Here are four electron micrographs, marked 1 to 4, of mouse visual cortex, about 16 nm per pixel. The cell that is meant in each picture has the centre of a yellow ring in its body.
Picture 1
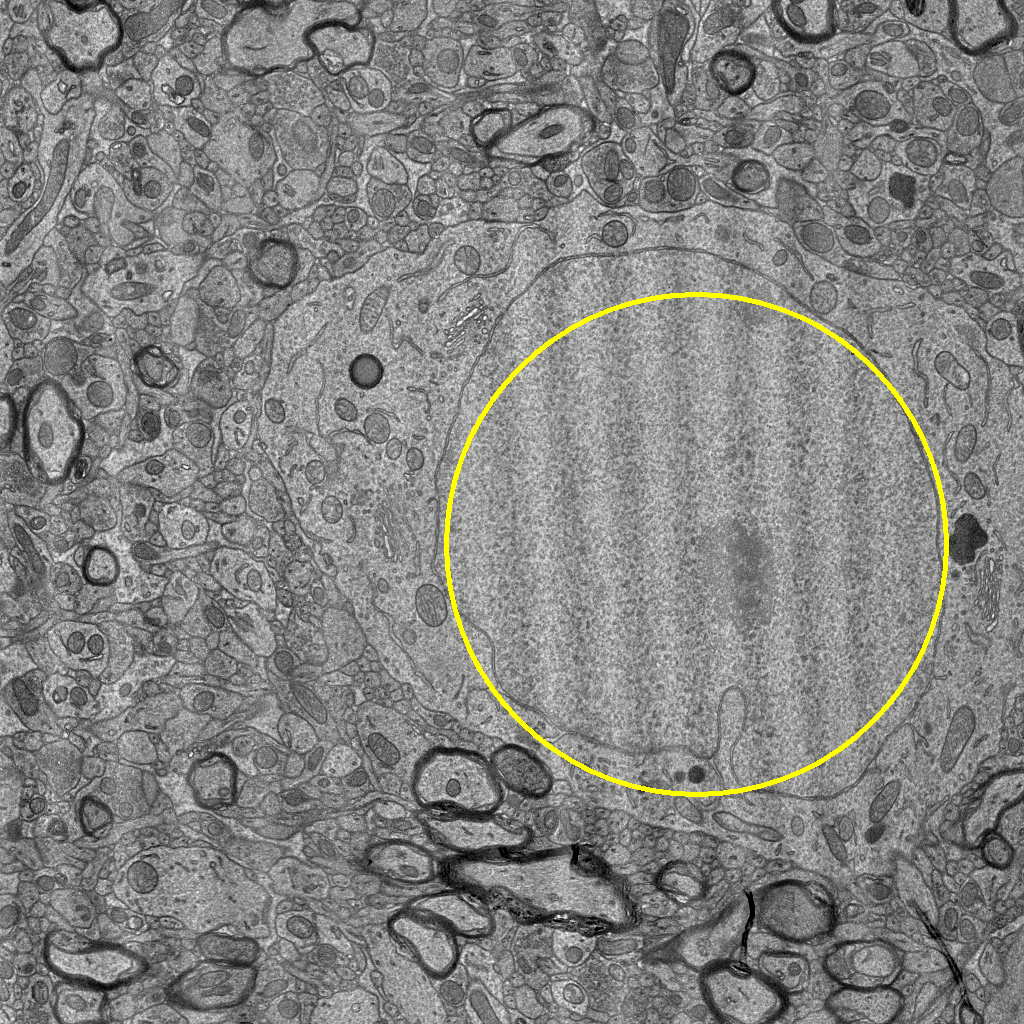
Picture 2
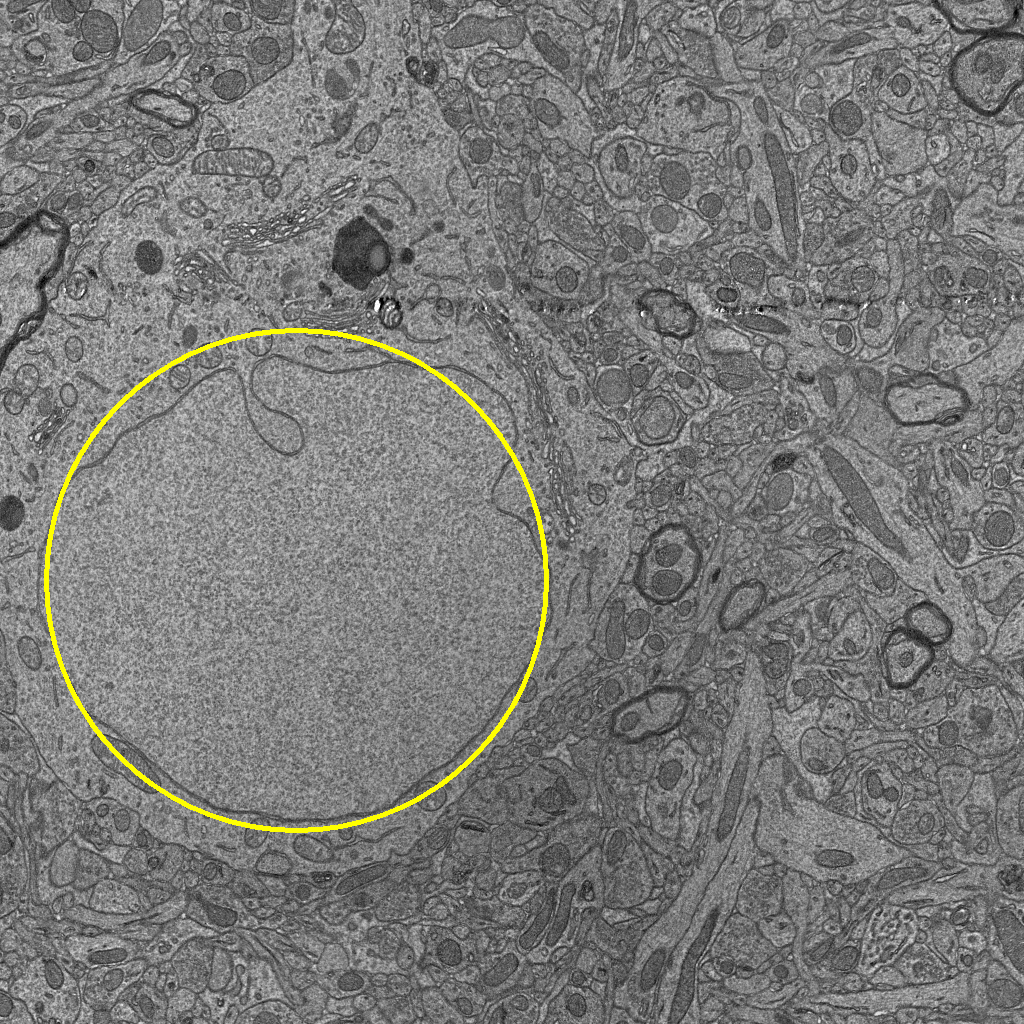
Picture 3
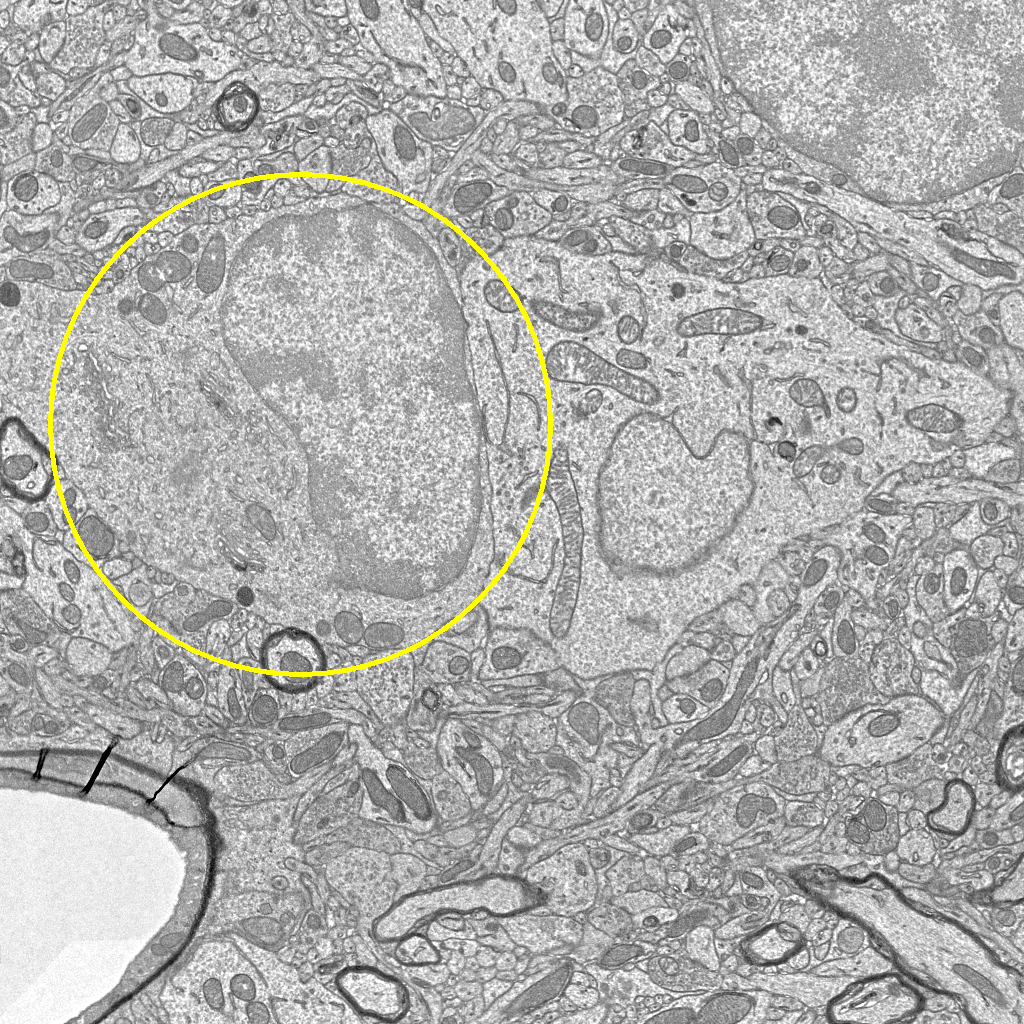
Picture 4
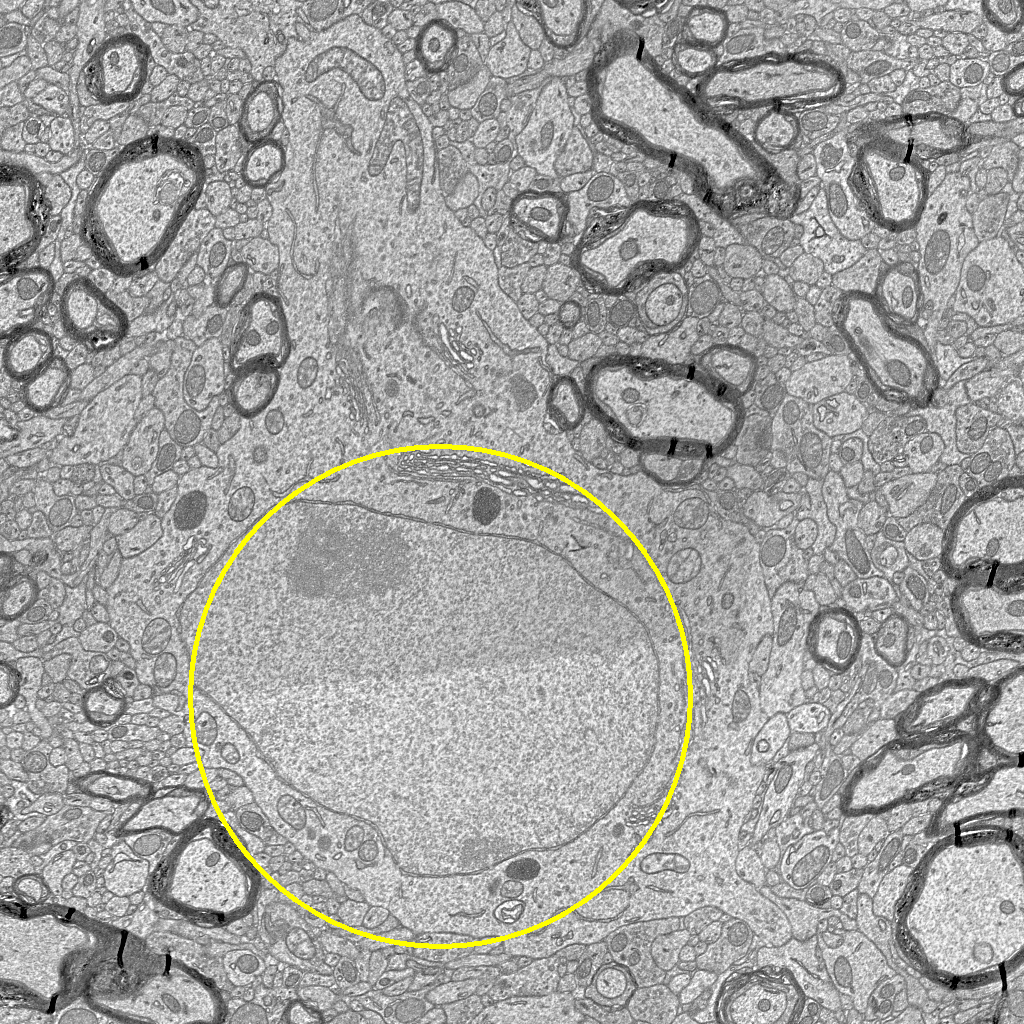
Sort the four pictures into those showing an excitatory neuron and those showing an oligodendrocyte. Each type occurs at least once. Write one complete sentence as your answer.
Pictures 1, 2 and 4 show excitatory neurons; picture 3 shows an oligodendrocyte.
